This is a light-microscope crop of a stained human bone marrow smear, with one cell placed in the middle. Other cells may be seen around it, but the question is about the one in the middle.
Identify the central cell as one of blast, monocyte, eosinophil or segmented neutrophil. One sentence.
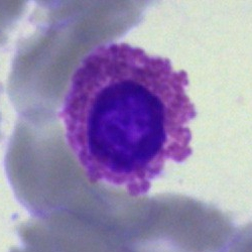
The middle position in this crop is taken by an eosinophil.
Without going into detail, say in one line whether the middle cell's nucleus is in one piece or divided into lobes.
Its nucleus is compact and single, with a round, oval or kidney-shaped form.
